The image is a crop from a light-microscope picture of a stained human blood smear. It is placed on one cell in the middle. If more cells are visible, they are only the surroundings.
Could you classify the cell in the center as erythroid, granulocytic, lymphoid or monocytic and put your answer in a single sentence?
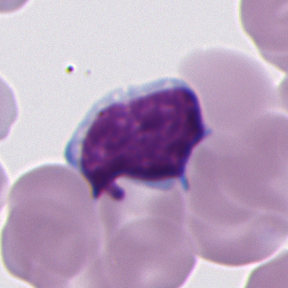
The cell in the middle is allocated to the lymphoid lineage.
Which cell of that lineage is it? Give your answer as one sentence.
The crop shows a typical lymphocyte in its centre.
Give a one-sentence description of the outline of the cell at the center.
Smoothness is lacking at the edge, which is ragged in places or drawn into projections.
